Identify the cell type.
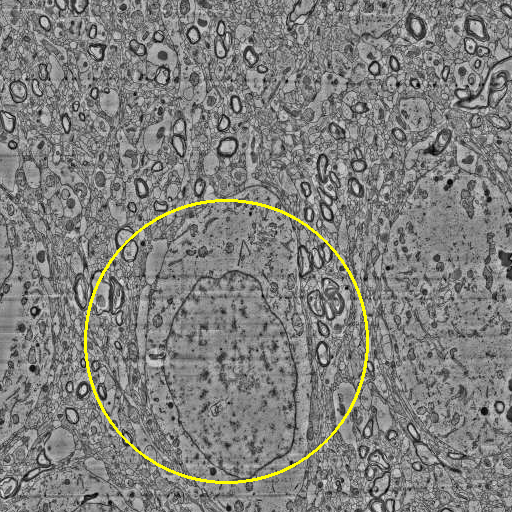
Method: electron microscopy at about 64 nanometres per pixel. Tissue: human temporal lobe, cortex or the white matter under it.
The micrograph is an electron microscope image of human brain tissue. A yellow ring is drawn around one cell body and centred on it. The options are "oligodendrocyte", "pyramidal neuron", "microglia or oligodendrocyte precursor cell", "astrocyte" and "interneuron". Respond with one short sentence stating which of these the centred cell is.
The cell body in the ring belongs to a pyramidal neuron.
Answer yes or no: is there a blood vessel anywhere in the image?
No, there is none.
